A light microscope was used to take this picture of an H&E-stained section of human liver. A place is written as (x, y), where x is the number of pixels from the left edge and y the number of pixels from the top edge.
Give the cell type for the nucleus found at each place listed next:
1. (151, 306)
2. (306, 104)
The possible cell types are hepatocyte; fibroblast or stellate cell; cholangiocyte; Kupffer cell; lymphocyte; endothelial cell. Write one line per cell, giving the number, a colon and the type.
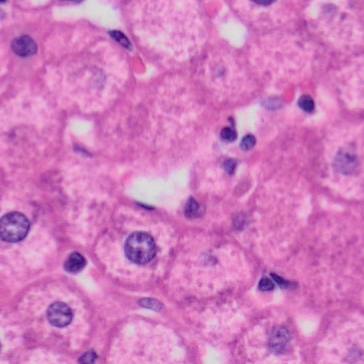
1: Kupffer cell
2: lymphocyte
